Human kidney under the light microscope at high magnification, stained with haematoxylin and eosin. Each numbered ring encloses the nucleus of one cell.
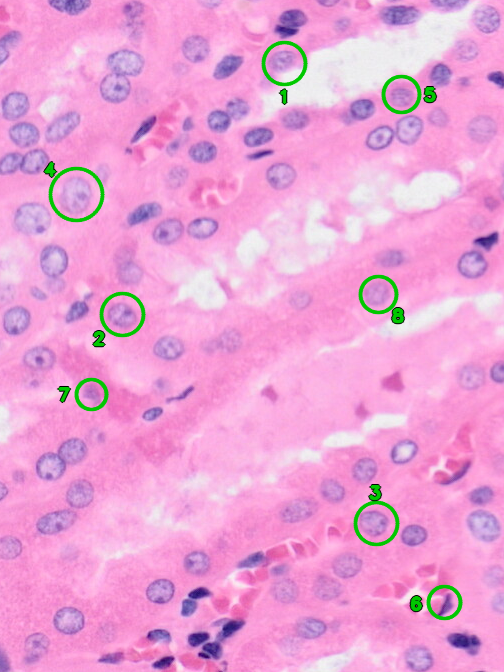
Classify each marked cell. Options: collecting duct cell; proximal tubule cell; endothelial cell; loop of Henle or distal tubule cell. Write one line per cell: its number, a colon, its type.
1: loop of Henle or distal tubule cell
2: proximal tubule cell
3: proximal tubule cell
4: proximal tubule cell
5: loop of Henle or distal tubule cell
6: endothelial cell
7: proximal tubule cell
8: proximal tubule cell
